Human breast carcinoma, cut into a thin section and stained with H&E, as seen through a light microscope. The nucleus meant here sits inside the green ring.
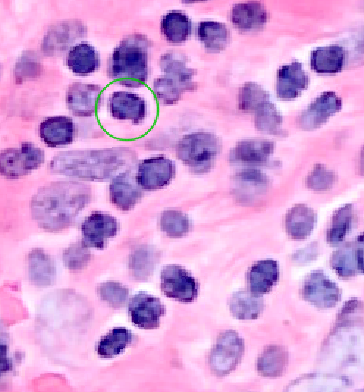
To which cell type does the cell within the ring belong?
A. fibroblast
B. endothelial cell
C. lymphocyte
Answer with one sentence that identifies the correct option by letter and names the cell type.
Since the cell within the ring is a lymphocyte, option C is correct.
